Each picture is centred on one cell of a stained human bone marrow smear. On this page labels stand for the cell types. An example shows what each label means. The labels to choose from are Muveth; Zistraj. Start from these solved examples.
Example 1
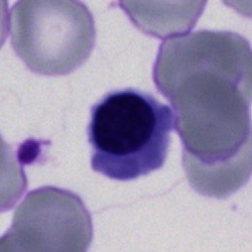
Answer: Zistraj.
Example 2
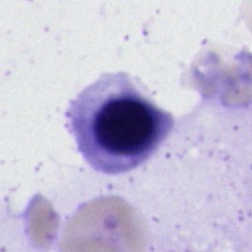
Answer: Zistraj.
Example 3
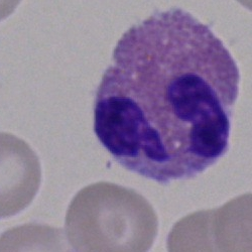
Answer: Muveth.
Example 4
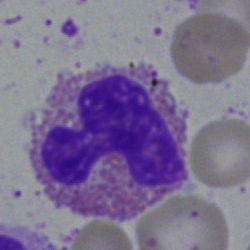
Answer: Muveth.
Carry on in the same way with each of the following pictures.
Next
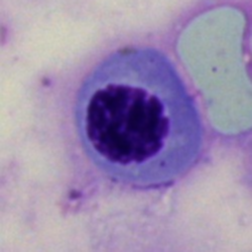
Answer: Zistraj.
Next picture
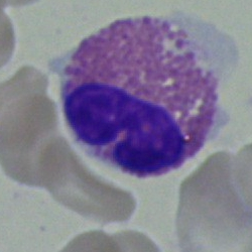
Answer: Muveth.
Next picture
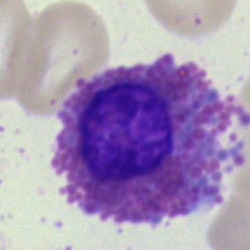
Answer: Muveth.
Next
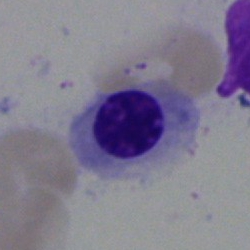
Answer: Zistraj.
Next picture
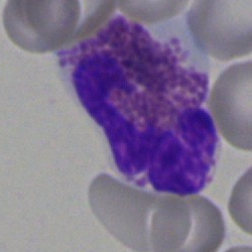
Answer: Muveth.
